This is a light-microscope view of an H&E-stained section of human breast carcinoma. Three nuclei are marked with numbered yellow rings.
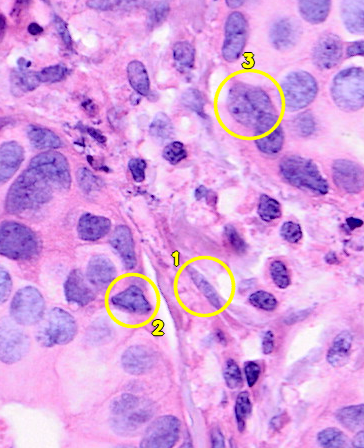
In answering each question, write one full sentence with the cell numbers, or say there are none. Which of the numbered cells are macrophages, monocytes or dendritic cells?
No numbered cell in this section is one of the macrophages, monocytes or dendritic cells.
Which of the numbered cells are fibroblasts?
Among the cells marked with numbers, the only one that is a fibroblast is number 1.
